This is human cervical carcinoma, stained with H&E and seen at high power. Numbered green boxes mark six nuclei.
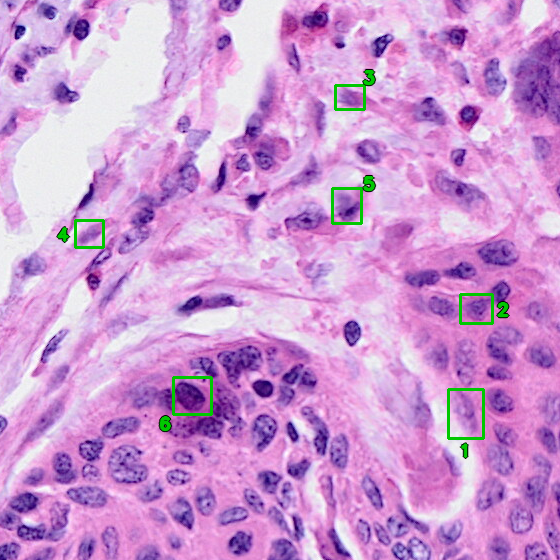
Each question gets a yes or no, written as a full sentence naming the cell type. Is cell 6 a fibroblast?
No, the cell under number 6 is a squamous carcinoma cell, not a fibroblast.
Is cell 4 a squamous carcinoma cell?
No, what number 4 shows is a fibroblast, not a squamous carcinoma cell.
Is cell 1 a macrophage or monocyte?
No, with respect, cell 1 is a squamous carcinoma cell rather than a macrophage or monocyte.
